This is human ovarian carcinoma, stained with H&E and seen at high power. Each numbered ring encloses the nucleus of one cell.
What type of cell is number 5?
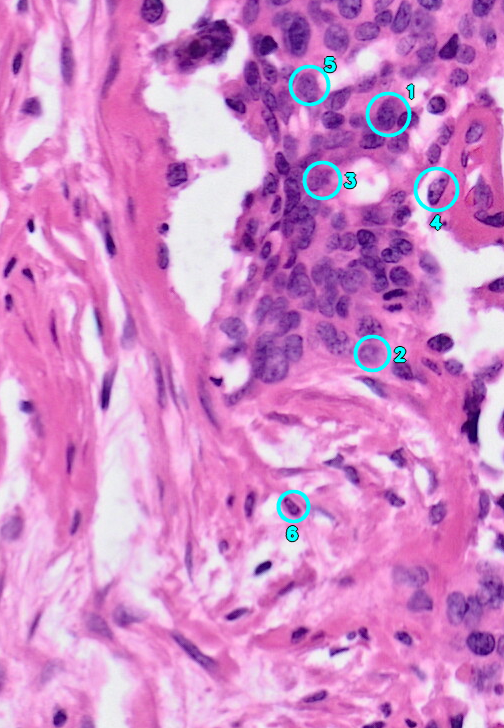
carcinoma cell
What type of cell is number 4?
macrophage or monocyte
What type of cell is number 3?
carcinoma cell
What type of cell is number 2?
carcinoma cell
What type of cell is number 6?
fibroblast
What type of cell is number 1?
carcinoma cell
